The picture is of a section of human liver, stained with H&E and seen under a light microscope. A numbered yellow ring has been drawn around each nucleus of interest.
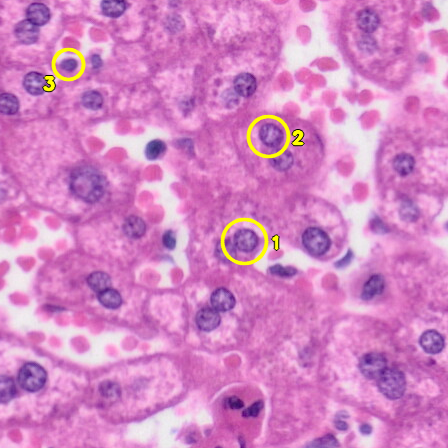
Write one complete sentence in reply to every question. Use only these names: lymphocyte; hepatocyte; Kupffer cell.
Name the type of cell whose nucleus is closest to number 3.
The nucleus nearest to number 3 is that of a Kupffer cell.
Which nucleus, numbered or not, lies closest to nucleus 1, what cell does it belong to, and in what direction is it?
The nearest one is a hepatocyte, found below and to the left of nucleus 1.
